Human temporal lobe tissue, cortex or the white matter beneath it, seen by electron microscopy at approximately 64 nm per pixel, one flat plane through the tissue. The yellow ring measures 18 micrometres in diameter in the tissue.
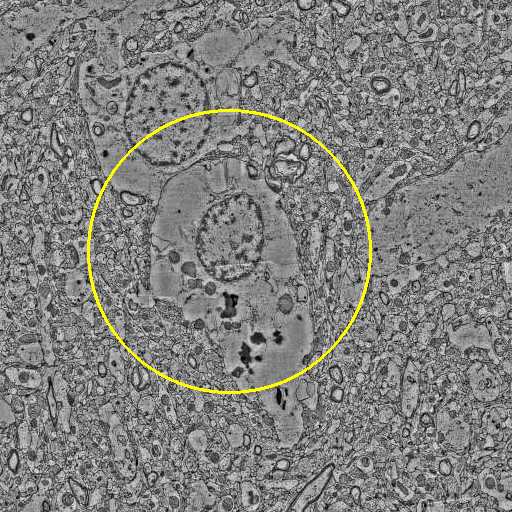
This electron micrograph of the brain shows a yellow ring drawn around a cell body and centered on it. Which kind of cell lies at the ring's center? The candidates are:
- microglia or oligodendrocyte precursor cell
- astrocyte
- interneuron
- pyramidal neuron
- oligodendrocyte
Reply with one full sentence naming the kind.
The cell lying at the ring's center in this micrograph is an astrocyte.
